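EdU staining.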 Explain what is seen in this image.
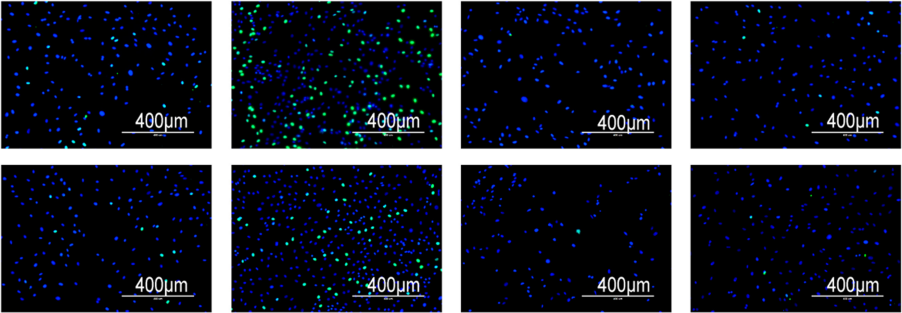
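Most nuclei show as small round or oval blue dots scattered fairly evenly across a black background. A subset of nuclei glows bright green, standing out against the blue ones. The number of nuclei and the share of green ones differ clearly between the images, with one column much more crowded and rich in green nuclei than the others.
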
